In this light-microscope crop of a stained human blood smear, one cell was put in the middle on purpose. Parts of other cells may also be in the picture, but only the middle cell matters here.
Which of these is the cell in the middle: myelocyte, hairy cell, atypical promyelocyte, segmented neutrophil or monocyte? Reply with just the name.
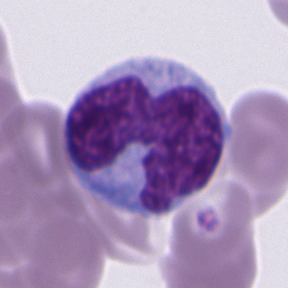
monocyte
